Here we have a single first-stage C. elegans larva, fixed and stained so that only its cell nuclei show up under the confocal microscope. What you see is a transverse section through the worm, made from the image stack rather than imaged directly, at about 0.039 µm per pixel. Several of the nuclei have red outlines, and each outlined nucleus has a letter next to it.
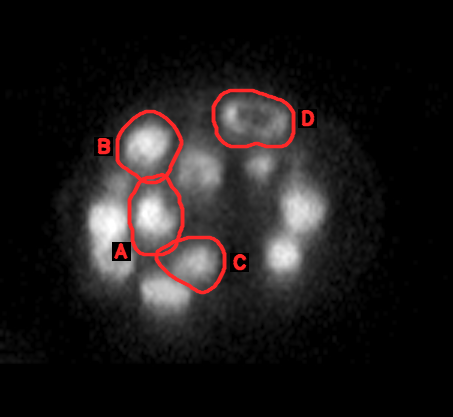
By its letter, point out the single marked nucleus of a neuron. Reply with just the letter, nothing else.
A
